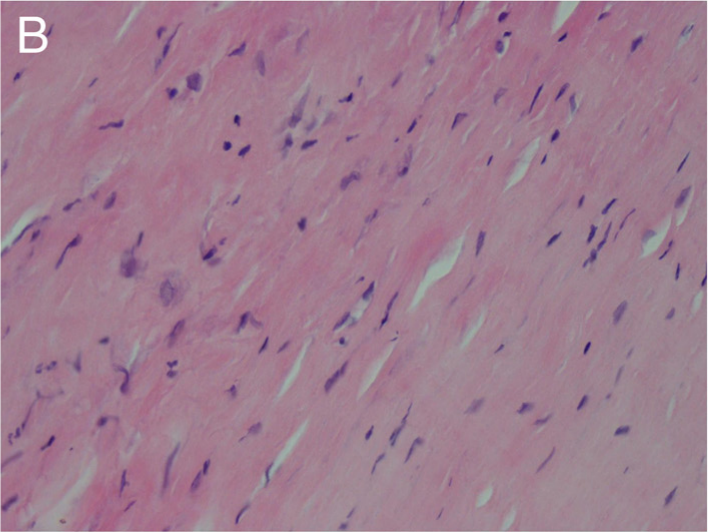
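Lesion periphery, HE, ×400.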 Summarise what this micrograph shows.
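Paucicellular fibrous tissue with spindled fibroblasts set in abundant pink collagenous stroma. Nuclei are dark purple, elongated and tapered, some wavy or slightly plump, widely spaced and aligned roughly along one direction with the fibres. Cytoplasm is scant and hard to distinguish from the surrounding matrix. A few cells show rounder, paler nuclei. Numerous narrow, elongated clear slit-like spaces lie between the collagen bundles, oriented parallel to them. No inflammatory infiltrate or vessels stand out; the stroma is homogeneous pink with faint fibrillar texture.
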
